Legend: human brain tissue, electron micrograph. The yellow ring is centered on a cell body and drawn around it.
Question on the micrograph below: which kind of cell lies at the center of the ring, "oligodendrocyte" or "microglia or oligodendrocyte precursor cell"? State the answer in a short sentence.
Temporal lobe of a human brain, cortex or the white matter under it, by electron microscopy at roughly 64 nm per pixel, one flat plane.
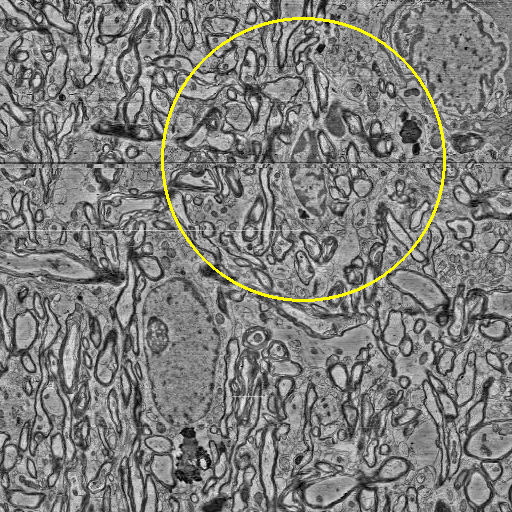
At the center of the ring lies a microglial cell or oligodendrocyte precursor cell.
